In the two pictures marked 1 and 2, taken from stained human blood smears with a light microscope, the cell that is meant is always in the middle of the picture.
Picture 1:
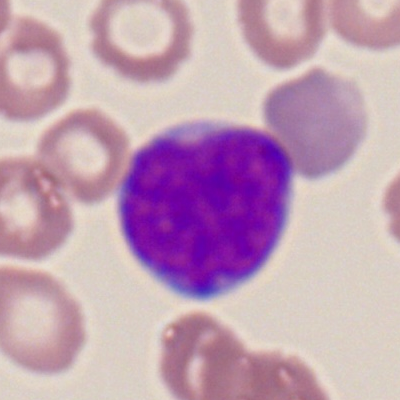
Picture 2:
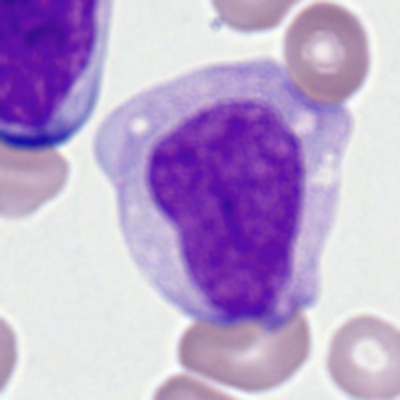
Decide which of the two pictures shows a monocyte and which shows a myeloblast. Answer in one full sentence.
It is picture 1 that shows a myeloblast, and picture 2 that shows a monocyte.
